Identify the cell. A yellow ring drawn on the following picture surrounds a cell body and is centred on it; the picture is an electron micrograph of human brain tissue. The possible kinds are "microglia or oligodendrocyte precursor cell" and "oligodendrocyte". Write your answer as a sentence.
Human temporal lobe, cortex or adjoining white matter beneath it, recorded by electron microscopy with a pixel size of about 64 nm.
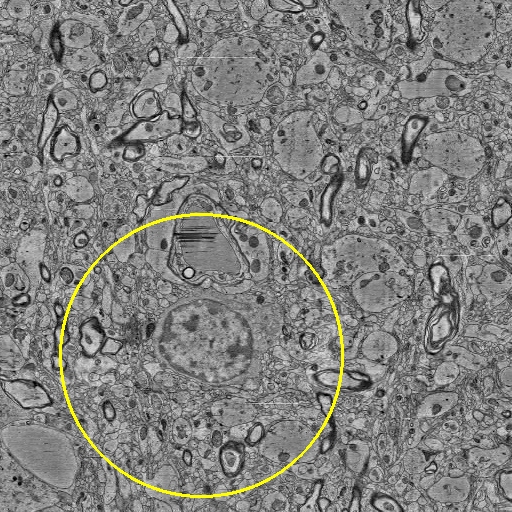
The cell identified by the ring is an oligodendrocyte.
